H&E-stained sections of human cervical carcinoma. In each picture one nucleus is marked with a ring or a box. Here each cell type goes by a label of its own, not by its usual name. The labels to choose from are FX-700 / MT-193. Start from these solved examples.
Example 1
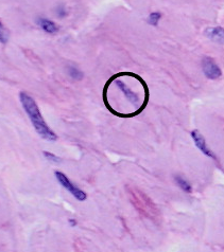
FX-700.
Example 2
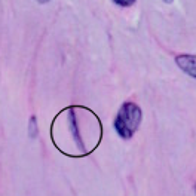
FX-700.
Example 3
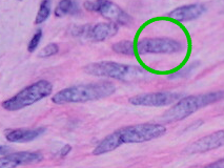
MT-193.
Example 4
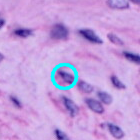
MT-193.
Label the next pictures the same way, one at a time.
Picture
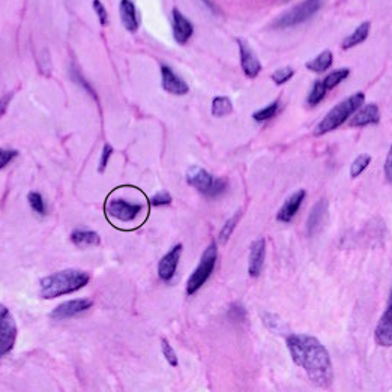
FX-700.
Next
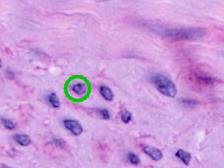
MT-193.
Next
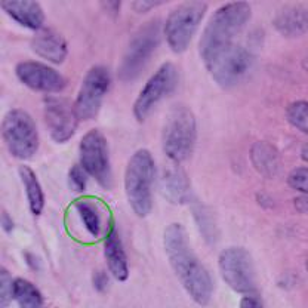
FX-700.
